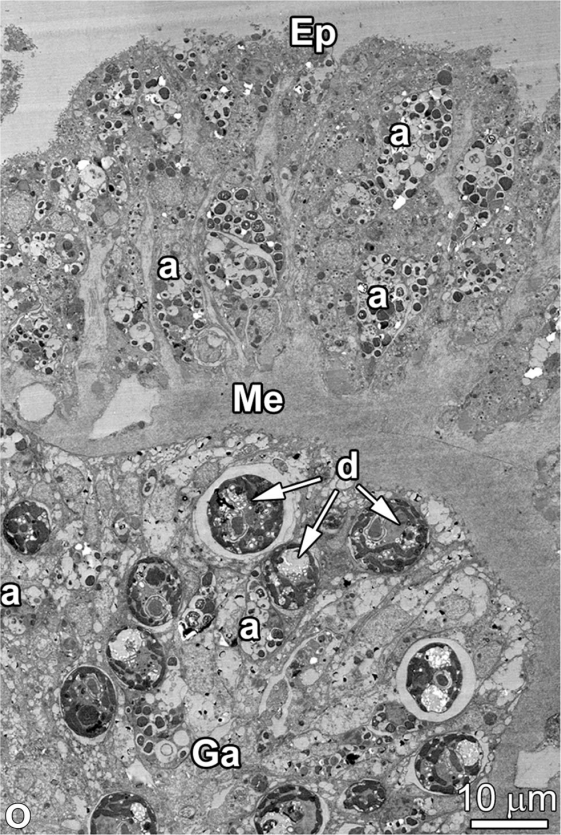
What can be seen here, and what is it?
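The upper epidermal layer holds clusters of granular amoebocytes crowded with round dark granules of varied density. The lower gastrodermal layer contains large round symbiotic dinoflagellates with dense cytoplasm and internal compartments, several enclosed in a pale surrounding space. Vacuolated host cytoplasm and further granule-filled cells lie between the dinoflagellates.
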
